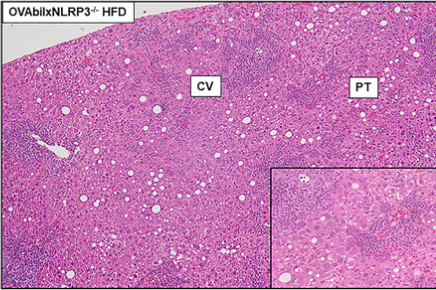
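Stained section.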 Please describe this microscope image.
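This is liver with pink hepatocytes in which many round, clear, empty-looking vacuoles of varying size are scattered through the cytoplasm. Around the vessels and portal areas, broad dark purple zones of densely packed small cells with round dark nuclei, an inflammatory cell infiltrate, extend into the neighbouring parenchyma.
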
